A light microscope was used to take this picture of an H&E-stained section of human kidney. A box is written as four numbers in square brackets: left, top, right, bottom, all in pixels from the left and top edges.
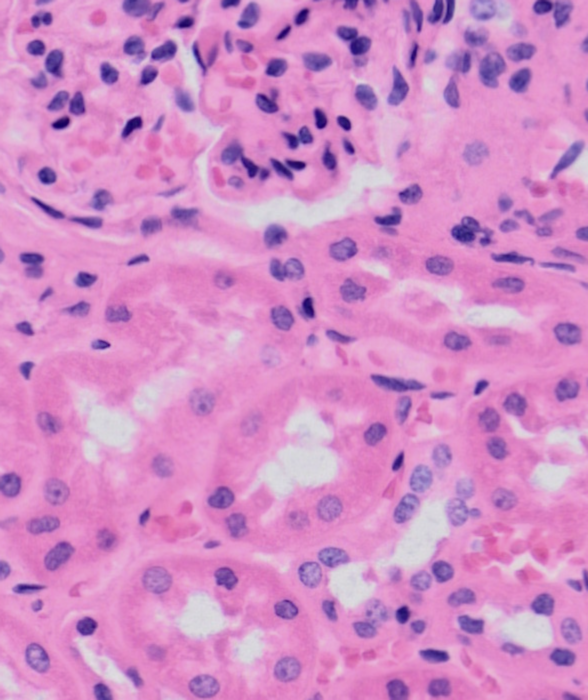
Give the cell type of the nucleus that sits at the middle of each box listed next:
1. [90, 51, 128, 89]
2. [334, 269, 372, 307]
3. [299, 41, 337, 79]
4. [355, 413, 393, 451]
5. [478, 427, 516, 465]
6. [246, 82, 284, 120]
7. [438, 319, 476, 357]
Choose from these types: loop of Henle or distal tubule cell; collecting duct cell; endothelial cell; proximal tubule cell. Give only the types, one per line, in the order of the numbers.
endothelial cell
proximal tubule cell
endothelial cell
proximal tubule cell
proximal tubule cell
endothelial cell
proximal tubule cell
